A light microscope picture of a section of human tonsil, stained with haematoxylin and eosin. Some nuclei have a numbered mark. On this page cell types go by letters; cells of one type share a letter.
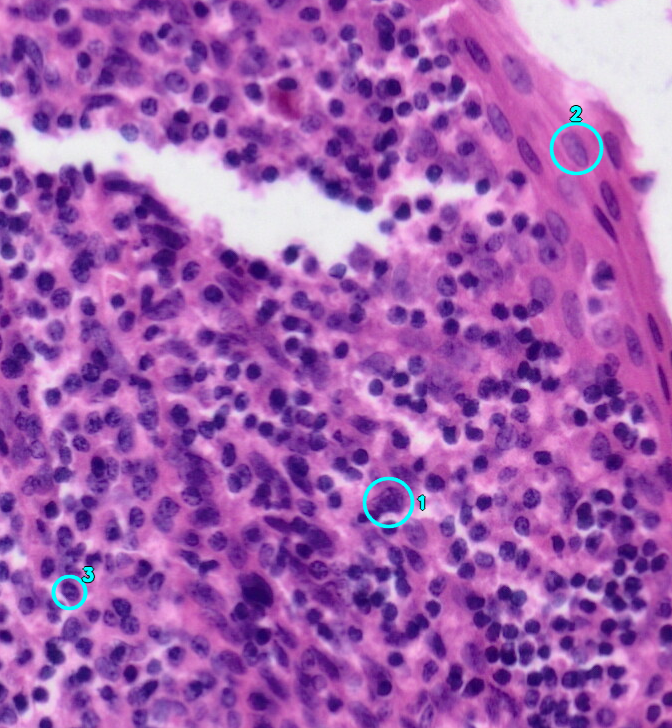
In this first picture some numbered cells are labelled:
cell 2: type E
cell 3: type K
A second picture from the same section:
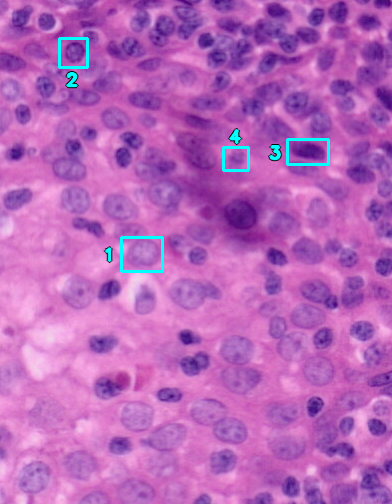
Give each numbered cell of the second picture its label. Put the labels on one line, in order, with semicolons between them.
type E; type K; type E; type E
